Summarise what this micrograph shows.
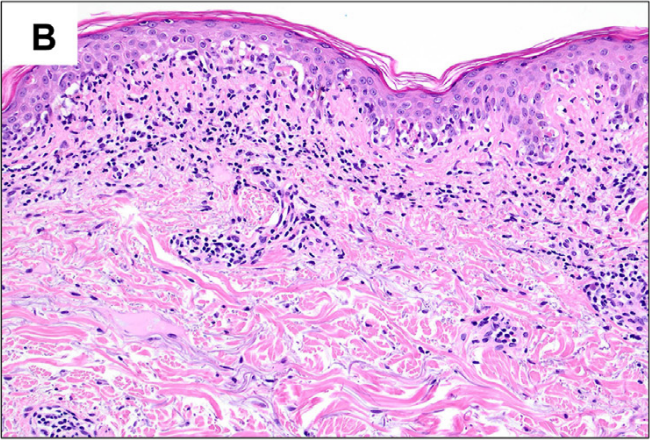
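This is skin at medium magnification showing epidermis with a basket-weave layer of pink keratin and the upper dermis below it. A band of small dark inflammatory cells lies along the junction between epidermis and dermis and blurs the basal layer. Further clusters of these small dark cells surround small blood vessels in the upper dermis. Below, the dermis has pink collagen bundles separated by wider pale spaces. The inflammation along the junction with a disturbed basal layer fits vacuolar interface dermatitis.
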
